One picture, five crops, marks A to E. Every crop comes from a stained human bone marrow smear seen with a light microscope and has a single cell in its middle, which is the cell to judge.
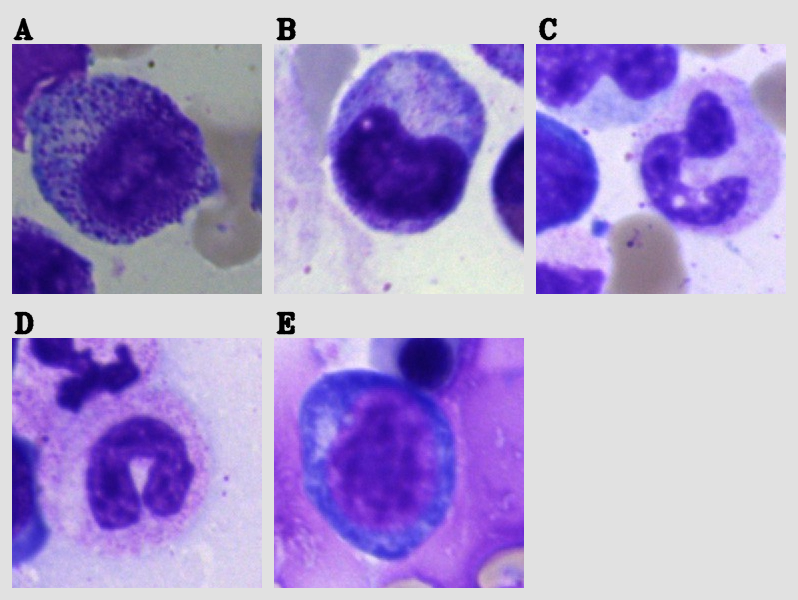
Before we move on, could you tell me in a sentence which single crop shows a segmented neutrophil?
The one that shows a segmented neutrophil is crop C.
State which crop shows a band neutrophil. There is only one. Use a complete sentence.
Crop D is the crop that displays a band neutrophil.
